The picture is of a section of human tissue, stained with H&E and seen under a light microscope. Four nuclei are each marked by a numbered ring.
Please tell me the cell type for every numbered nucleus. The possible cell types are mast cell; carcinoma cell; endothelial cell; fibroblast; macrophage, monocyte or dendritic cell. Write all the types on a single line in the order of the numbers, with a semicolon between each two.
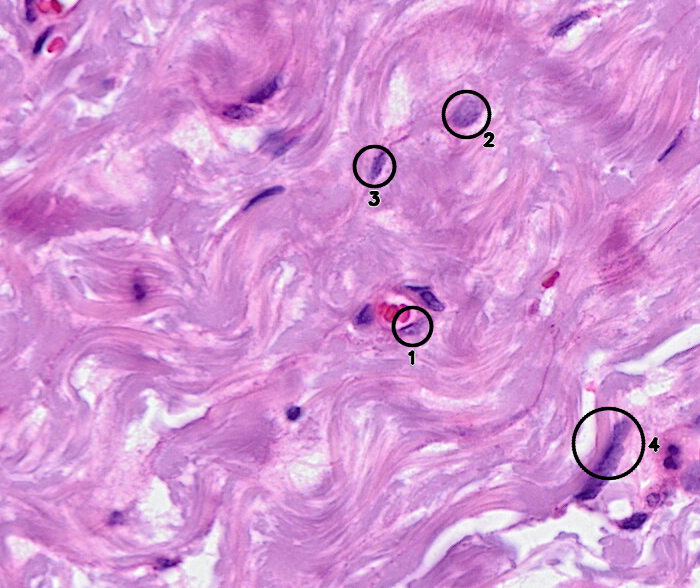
endothelial cell; fibroblast; fibroblast; fibroblast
